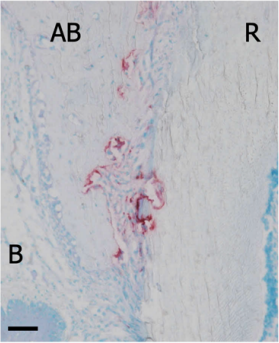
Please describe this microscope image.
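This section shows alveolar bone beside a tooth root, with the fibrous periodontal ligament between them and a blue-green counterstain. Several irregular red-stained cells lie along the bone margin that faces the root. They form scattered clumps strung along a ragged, scalloped stretch of the bone surface. Much of that bone edge looks eroded rather than smooth.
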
